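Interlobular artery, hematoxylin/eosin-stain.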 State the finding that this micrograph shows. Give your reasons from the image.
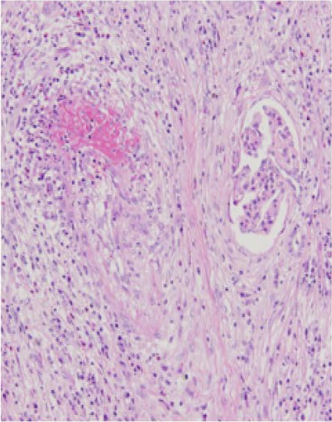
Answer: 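Fibrinoid necrosis. Inflammatory cells with dark nuclei crowd around the pink deposit.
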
